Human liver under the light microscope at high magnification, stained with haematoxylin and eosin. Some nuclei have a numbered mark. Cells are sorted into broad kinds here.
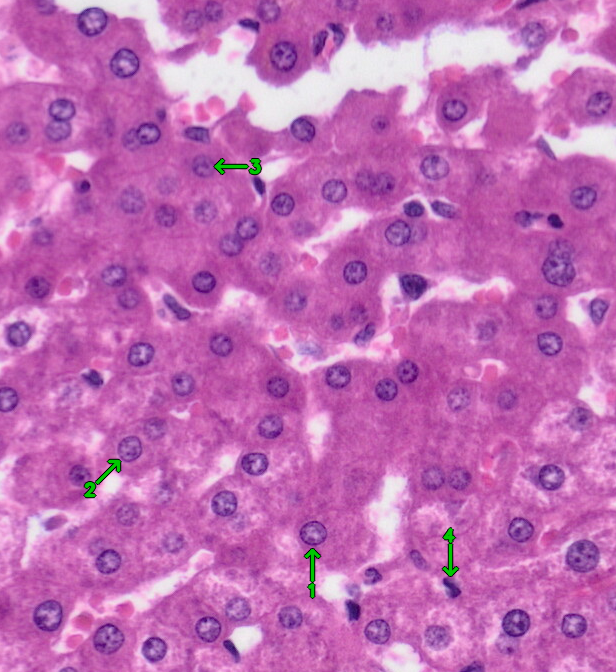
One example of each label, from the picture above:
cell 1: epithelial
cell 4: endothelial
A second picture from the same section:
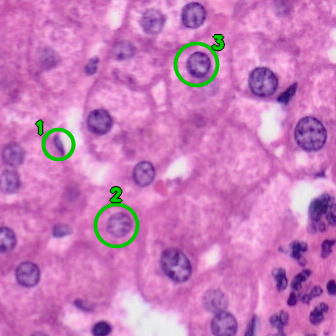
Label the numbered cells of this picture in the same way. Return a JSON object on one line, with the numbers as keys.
{"1": "endothelial", "2": "epithelial", "3": "epithelial"}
